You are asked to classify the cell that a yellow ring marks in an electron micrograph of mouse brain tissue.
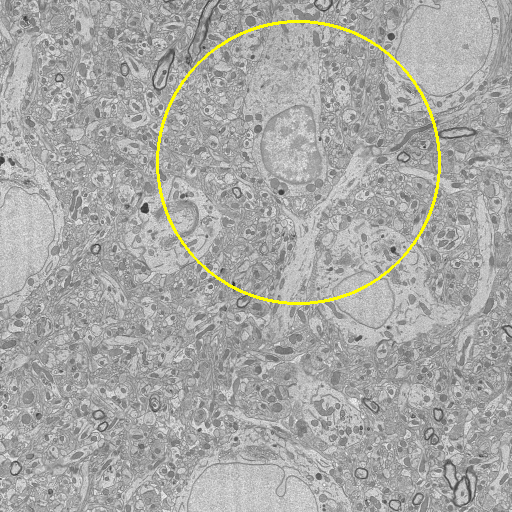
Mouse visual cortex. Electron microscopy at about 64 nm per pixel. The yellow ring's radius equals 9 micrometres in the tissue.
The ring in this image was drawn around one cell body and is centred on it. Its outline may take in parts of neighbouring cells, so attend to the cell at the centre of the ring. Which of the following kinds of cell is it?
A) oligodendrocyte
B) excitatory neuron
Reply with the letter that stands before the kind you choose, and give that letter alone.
A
